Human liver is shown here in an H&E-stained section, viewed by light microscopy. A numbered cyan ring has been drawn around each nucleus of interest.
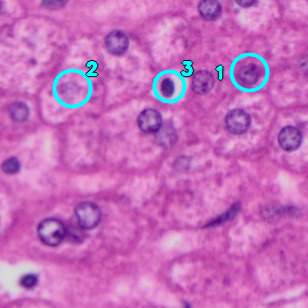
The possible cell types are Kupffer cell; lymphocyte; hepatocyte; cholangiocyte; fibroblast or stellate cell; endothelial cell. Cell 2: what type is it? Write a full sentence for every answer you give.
Among the marked nuclei, number 2 belongs to a hepatocyte.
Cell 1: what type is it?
The cell assigned the number 1 is a hepatocyte.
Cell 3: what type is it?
It is as a lymphocyte that the cell numbered 3 is identified.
